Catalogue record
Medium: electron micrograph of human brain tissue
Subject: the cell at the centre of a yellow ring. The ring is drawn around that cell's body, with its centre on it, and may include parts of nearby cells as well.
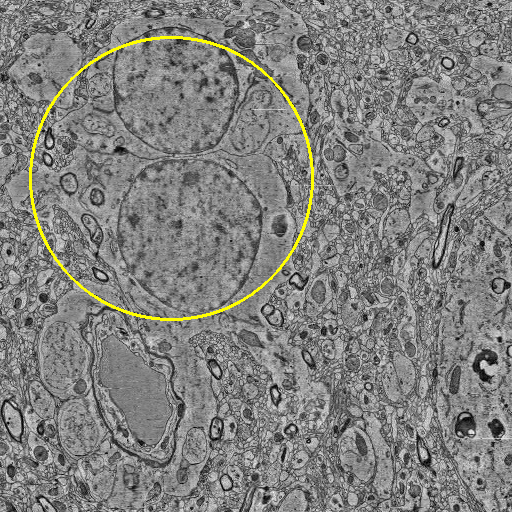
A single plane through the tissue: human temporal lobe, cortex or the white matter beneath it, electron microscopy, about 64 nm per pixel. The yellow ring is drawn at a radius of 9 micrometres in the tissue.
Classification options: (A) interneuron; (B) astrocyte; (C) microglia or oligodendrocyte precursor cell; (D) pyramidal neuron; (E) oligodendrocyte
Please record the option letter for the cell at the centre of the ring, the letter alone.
B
